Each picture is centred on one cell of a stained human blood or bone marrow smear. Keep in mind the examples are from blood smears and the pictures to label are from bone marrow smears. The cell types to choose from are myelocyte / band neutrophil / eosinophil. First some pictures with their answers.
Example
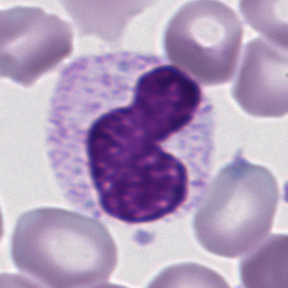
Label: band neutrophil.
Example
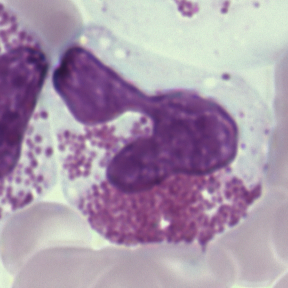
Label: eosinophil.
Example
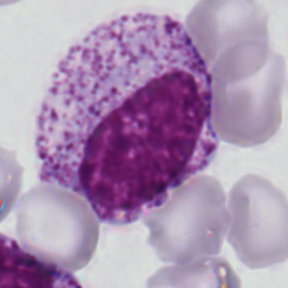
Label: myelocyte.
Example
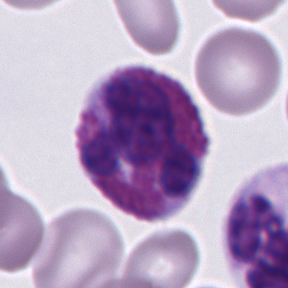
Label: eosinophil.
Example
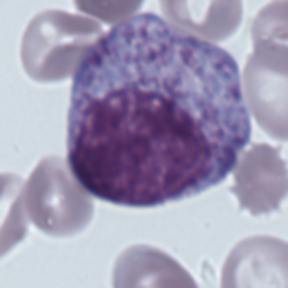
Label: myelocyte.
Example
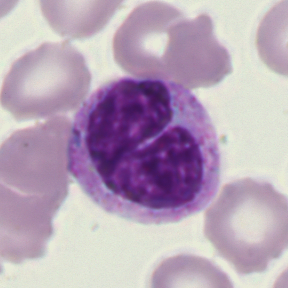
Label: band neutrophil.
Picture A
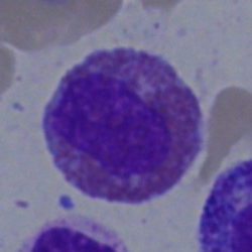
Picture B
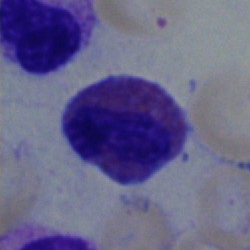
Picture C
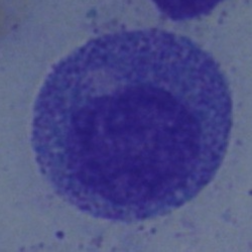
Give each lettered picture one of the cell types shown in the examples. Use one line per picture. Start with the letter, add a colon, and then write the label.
A: eosinophil.
B: eosinophil.
C: myelocyte.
